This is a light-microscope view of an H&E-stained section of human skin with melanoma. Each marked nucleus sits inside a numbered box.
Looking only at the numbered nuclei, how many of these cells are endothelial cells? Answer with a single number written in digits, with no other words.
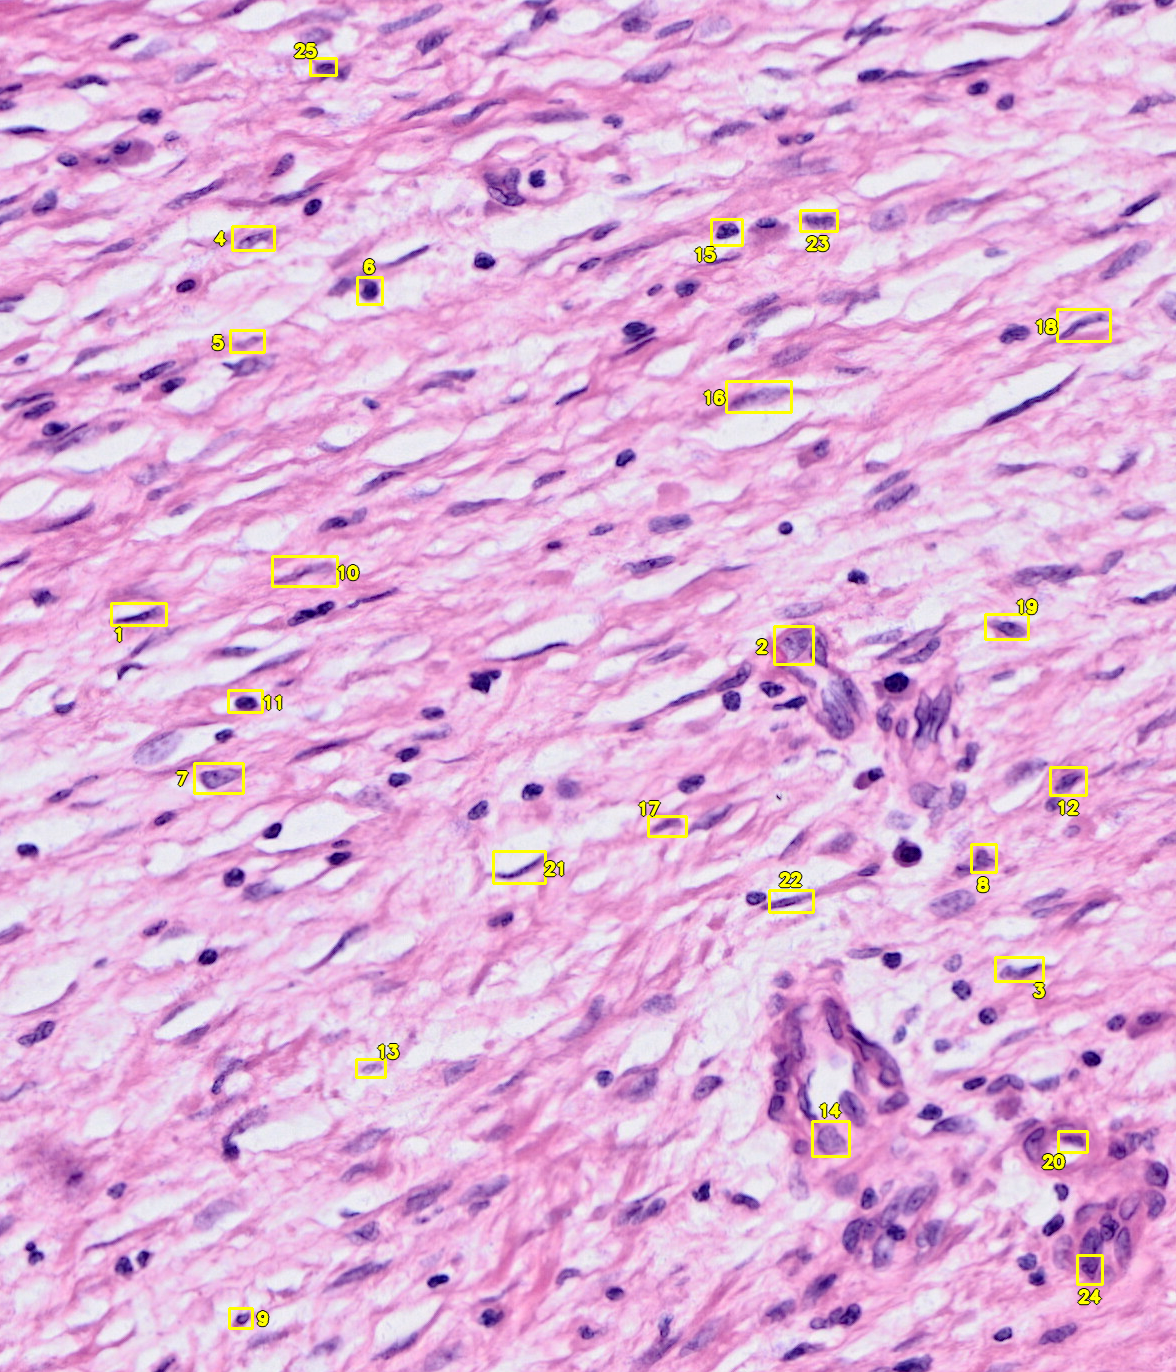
4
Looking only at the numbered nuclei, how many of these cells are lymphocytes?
3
